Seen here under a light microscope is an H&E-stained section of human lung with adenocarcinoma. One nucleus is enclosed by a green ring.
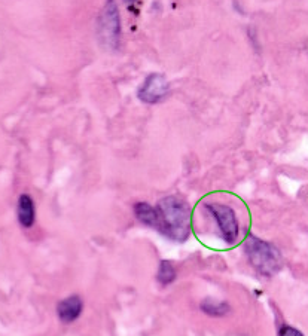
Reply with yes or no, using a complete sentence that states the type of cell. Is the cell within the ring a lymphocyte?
No, the cell within the ring is identified as a fibroblast and not as a lymphocyte.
